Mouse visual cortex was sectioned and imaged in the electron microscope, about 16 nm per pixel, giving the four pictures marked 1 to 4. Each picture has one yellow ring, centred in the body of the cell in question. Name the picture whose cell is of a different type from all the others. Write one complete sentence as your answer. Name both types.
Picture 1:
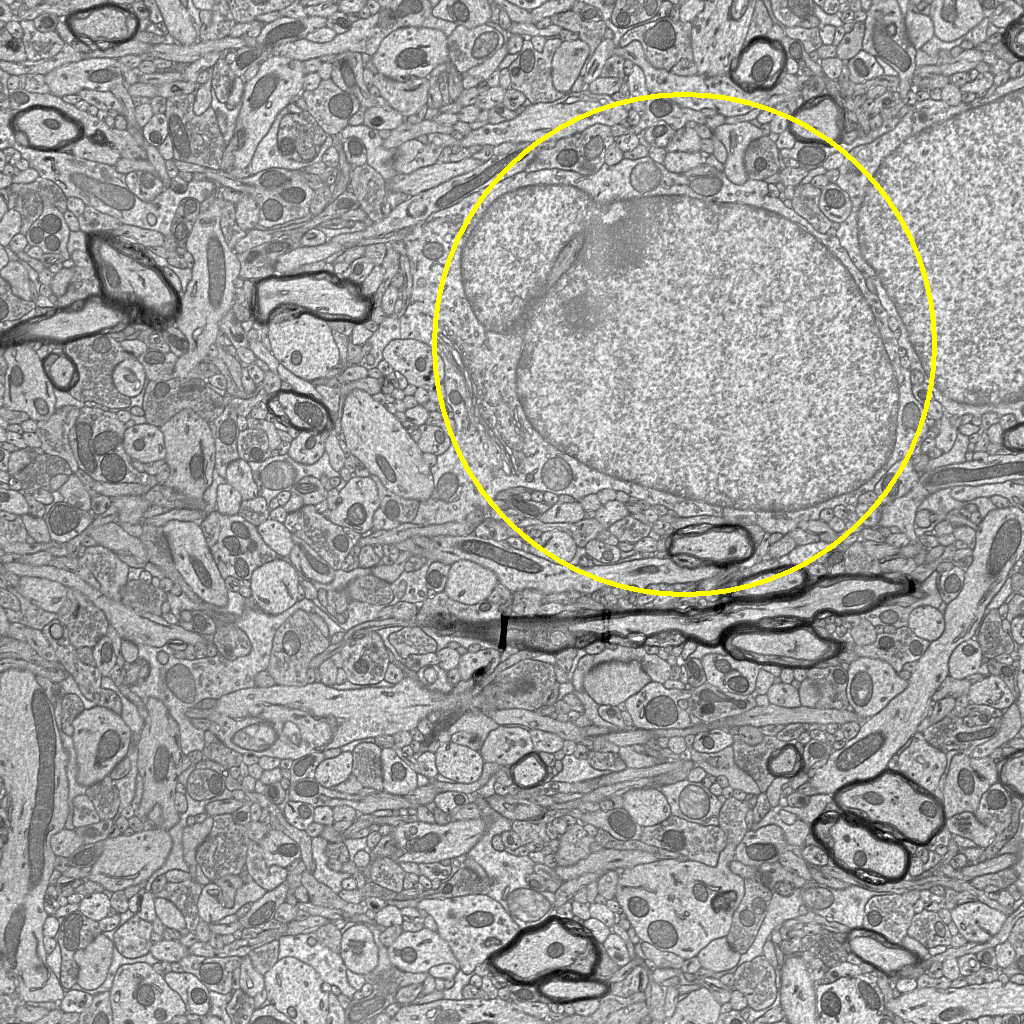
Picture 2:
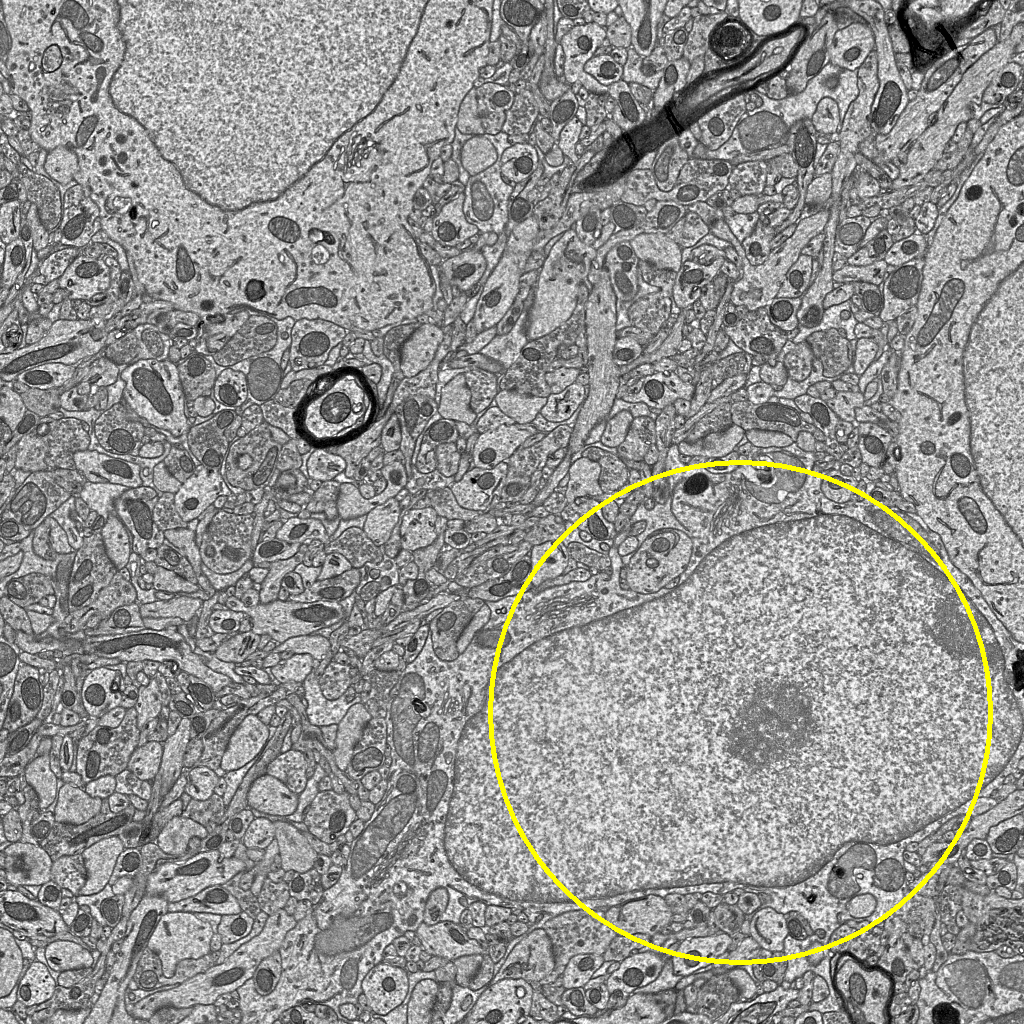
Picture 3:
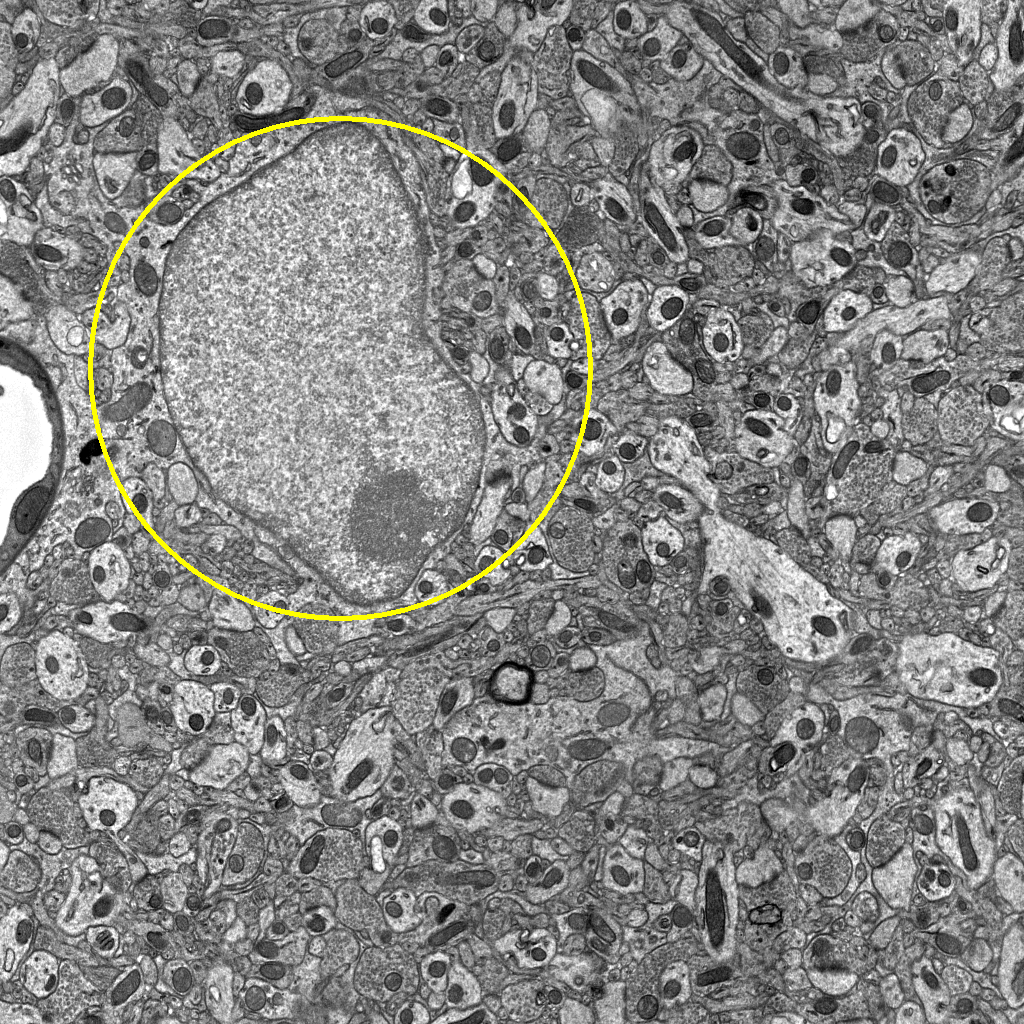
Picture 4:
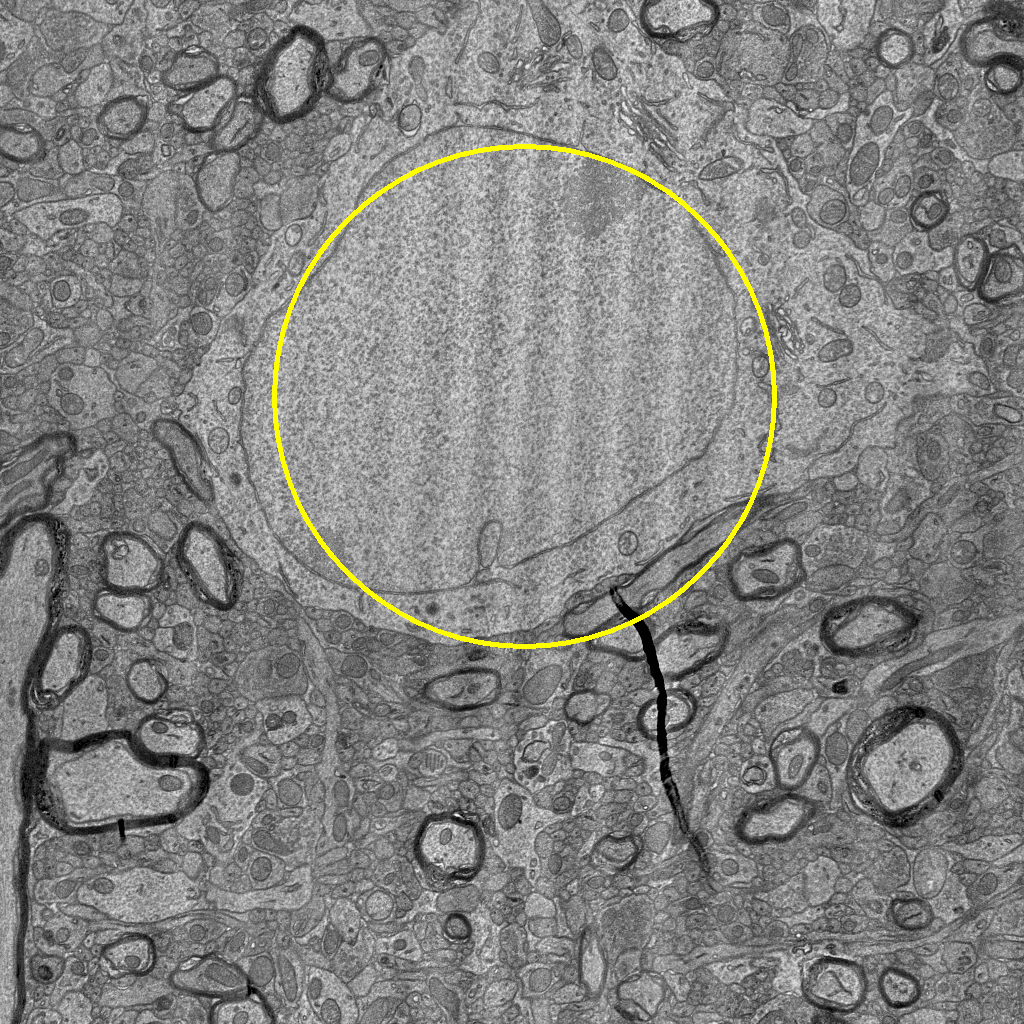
Unlike the rest, which show astrocytes, picture 4 shows an excitatory neuron.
